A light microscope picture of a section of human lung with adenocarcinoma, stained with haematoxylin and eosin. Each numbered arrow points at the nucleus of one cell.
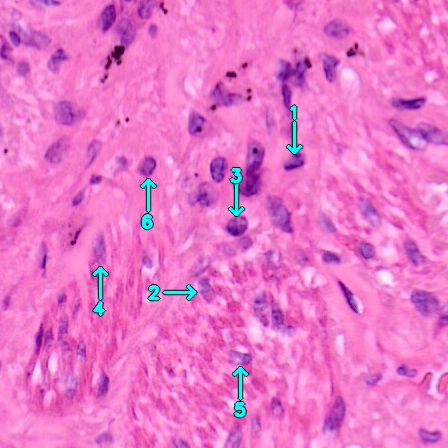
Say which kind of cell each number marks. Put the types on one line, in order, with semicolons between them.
mast cell; smooth muscle cell or pericyte; lymphocyte; smooth muscle cell or pericyte; smooth muscle cell or pericyte; mast cell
